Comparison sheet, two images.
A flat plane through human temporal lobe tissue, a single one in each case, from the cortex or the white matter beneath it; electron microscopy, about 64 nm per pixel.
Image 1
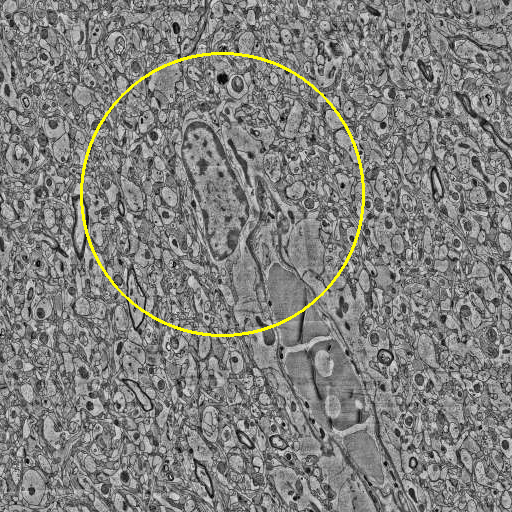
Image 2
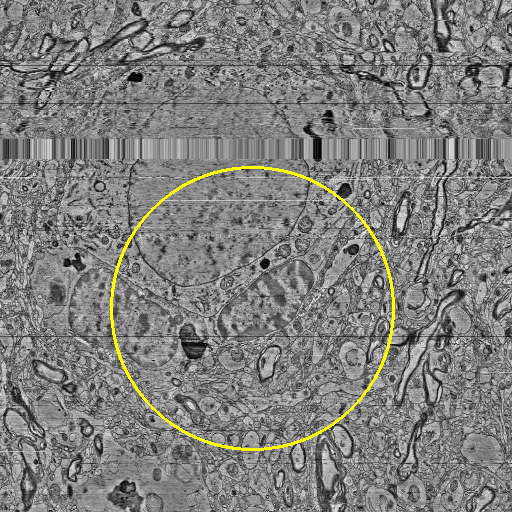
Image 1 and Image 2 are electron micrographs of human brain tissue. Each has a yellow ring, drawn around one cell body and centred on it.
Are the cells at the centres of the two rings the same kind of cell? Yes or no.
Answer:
yes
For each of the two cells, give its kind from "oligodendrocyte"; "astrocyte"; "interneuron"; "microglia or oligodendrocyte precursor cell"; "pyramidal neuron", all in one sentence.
The ring centre holds a microglial cell or oligodendrocyte precursor cell in each of the two pictures.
